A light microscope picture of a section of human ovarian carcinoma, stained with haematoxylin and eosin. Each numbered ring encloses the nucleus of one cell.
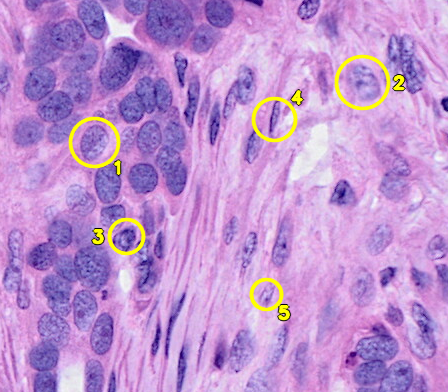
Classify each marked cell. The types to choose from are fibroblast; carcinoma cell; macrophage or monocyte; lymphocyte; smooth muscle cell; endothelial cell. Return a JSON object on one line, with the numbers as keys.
{"1": "carcinoma cell", "2": "fibroblast", "3": "macrophage or monocyte", "4": "fibroblast", "5": "fibroblast"}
